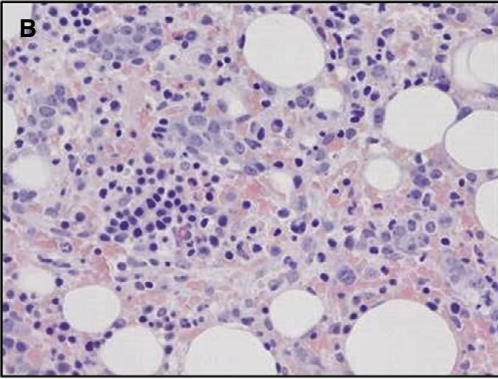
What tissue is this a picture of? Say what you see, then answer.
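Bone marrow. Round empty fat spaces are scattered through the field. Between them lie densely packed mixed blood-forming cells. Red cells lie among the nucleated cells.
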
